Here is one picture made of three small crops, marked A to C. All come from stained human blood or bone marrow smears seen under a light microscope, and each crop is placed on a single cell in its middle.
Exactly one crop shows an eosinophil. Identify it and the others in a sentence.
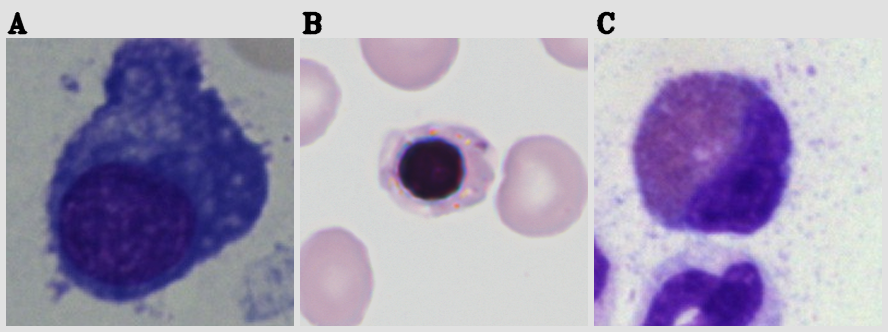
Going crop by crop, crop C is an eosinophil, while crop A is a plasma cell and crop B is an erythroblast.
